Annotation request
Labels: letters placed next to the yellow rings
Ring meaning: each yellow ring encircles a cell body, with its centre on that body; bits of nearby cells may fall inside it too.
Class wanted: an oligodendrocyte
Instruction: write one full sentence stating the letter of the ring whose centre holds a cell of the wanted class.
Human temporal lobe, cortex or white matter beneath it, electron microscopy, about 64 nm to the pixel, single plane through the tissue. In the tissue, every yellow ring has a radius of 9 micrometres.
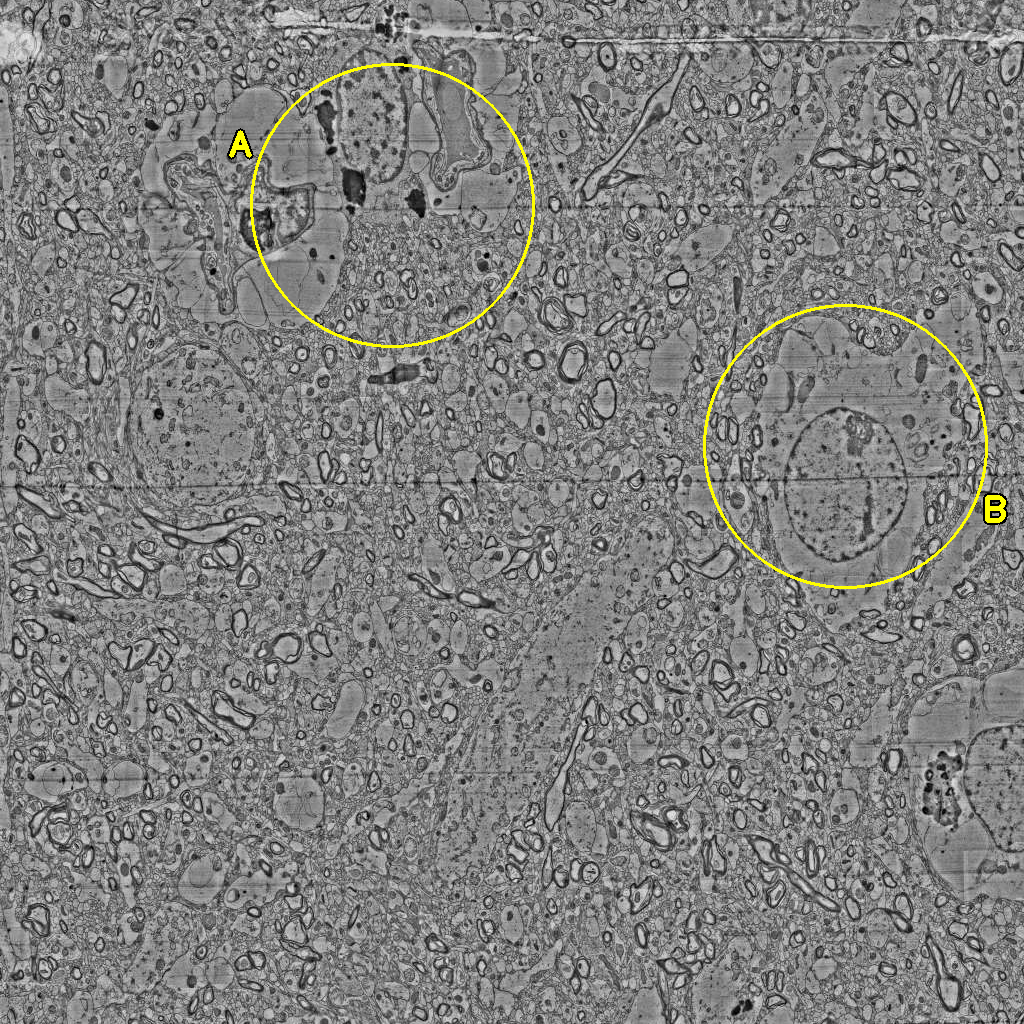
For this annotation, a cell of that kind sits at the centre of ring A.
